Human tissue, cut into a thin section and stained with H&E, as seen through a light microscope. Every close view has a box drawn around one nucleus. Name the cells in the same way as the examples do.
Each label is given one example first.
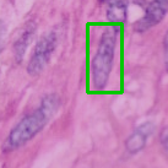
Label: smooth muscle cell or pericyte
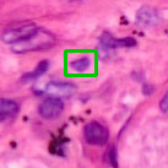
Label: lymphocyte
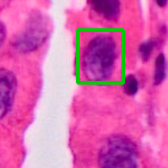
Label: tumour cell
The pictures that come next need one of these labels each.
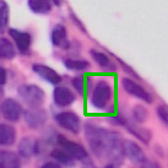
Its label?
lymphocyte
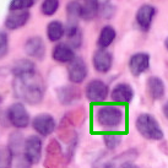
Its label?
lymphocyte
